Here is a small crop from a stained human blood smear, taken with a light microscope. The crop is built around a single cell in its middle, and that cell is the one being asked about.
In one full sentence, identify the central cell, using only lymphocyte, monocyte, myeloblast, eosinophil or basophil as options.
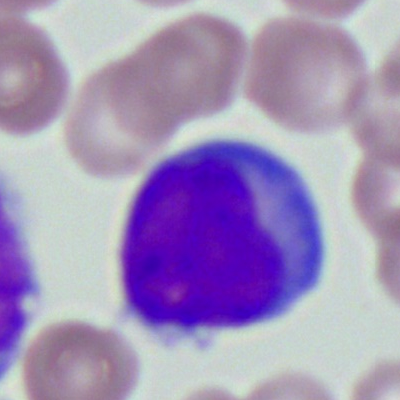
Regarding the central cell, it is a myeloblast.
